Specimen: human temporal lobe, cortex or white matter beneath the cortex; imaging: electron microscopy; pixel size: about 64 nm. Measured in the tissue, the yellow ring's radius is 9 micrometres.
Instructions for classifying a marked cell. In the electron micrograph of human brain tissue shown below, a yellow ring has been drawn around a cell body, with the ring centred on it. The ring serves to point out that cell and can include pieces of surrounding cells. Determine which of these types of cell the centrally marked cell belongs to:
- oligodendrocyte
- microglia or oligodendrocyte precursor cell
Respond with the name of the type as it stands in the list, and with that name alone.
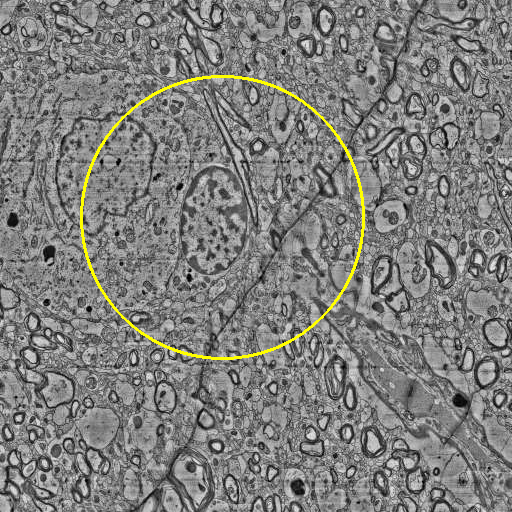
microglia or oligodendrocyte precursor cell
